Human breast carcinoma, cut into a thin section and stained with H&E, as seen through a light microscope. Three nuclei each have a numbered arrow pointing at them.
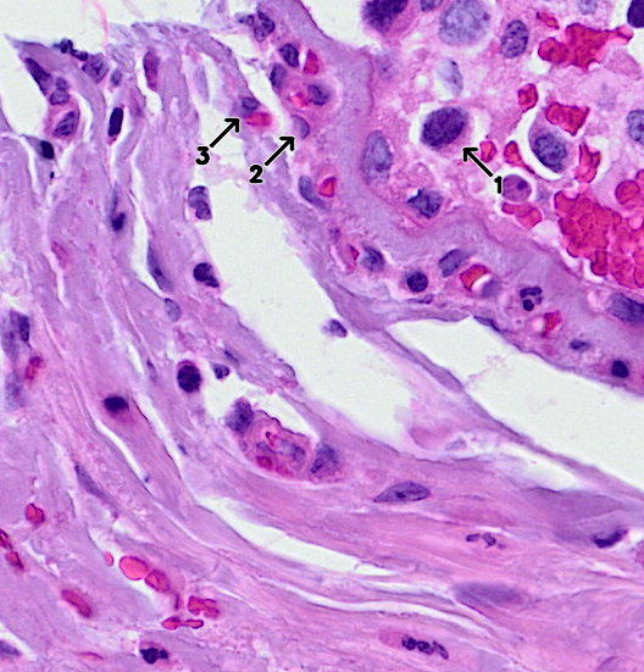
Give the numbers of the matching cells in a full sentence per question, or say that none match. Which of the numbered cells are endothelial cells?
Marked by the numbers 2 and 3 are cells that are endothelial cells.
